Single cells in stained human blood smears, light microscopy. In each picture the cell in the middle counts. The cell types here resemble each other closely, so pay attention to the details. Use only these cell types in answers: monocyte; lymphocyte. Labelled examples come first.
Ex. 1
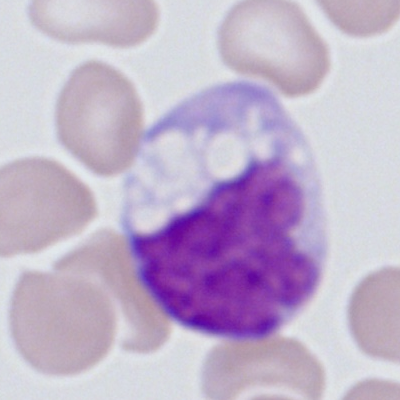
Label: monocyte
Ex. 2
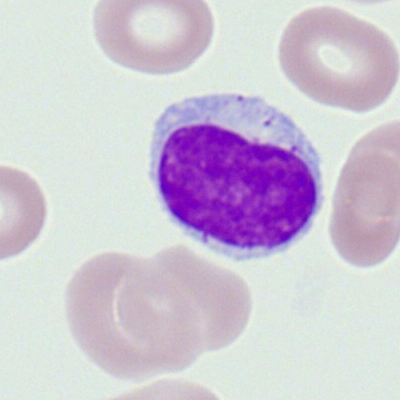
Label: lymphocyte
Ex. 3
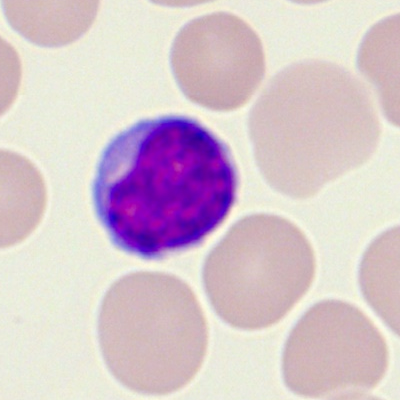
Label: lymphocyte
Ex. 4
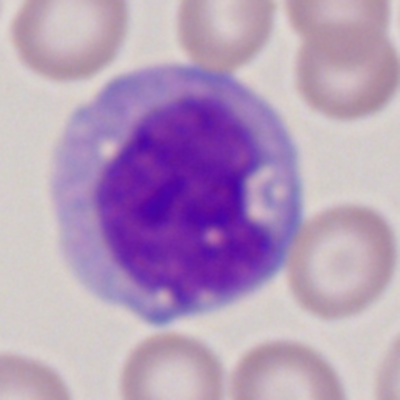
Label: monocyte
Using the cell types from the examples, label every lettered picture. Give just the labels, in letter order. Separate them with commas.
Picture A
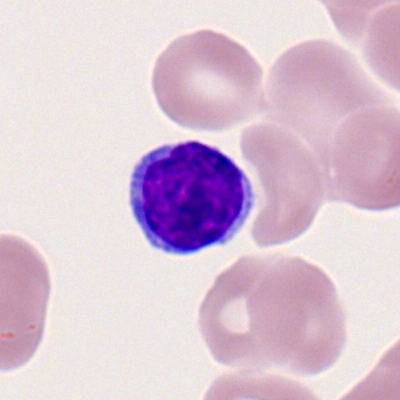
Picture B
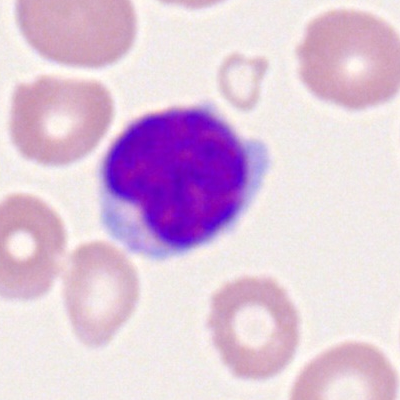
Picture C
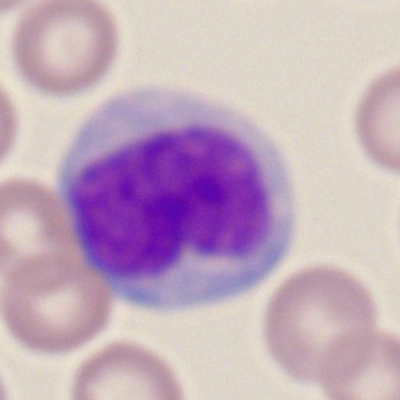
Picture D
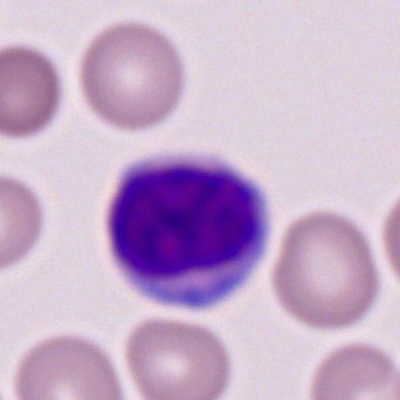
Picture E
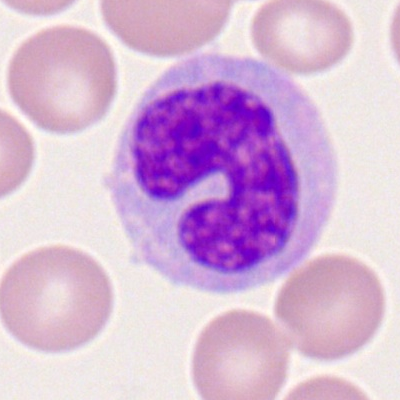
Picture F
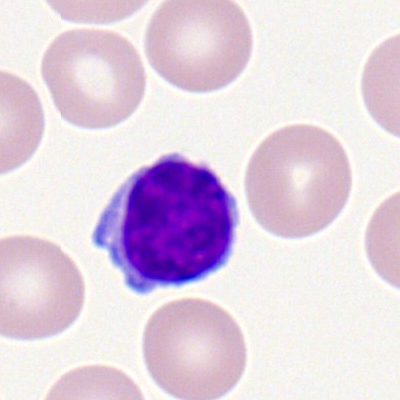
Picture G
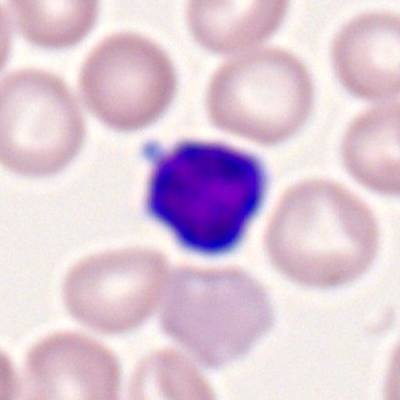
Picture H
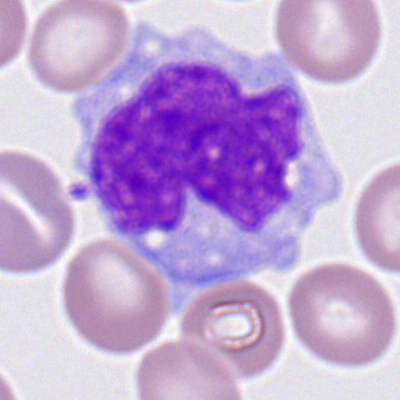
lymphocyte, lymphocyte, monocyte, lymphocyte, monocyte, lymphocyte, lymphocyte, monocyte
